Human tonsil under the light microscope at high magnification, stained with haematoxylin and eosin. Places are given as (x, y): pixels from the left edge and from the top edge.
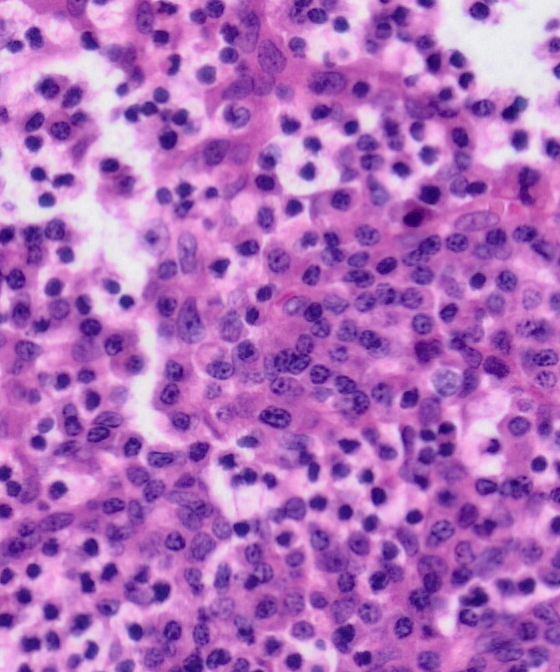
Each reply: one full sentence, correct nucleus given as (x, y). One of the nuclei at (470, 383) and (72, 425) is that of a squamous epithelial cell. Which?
Of the two nuclei, the one at (470, 383) belongs to a squamous epithelial cell.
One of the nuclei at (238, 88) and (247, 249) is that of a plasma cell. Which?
The nucleus contained in a plasma cell is the one at (247, 249).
